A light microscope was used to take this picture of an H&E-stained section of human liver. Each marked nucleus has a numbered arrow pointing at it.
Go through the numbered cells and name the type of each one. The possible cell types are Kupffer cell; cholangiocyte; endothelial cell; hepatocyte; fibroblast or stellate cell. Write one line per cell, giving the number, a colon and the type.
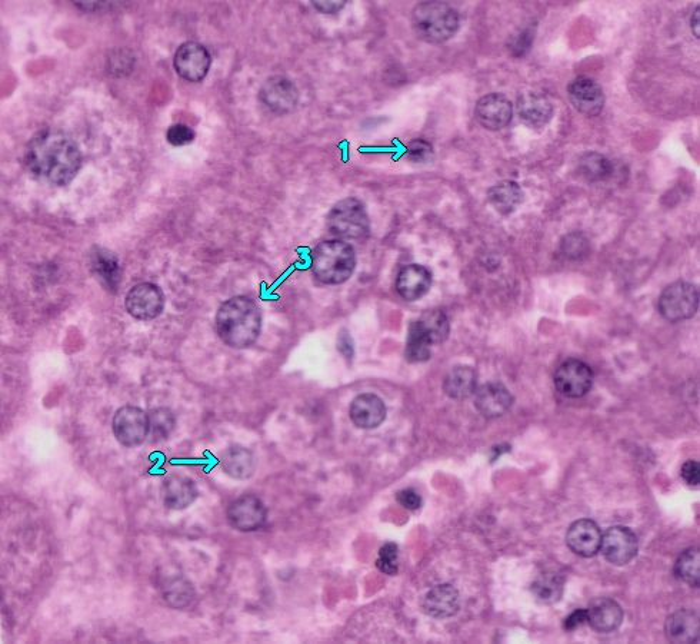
1: Kupffer cell
2: hepatocyte
3: hepatocyte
